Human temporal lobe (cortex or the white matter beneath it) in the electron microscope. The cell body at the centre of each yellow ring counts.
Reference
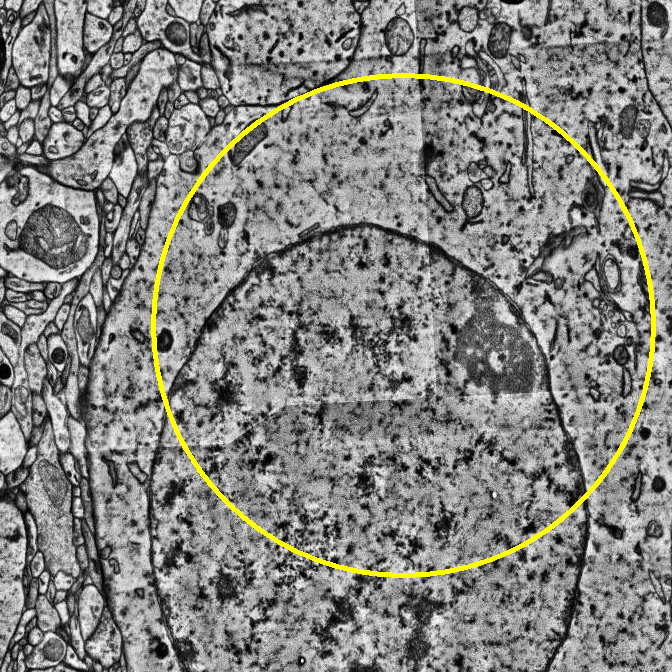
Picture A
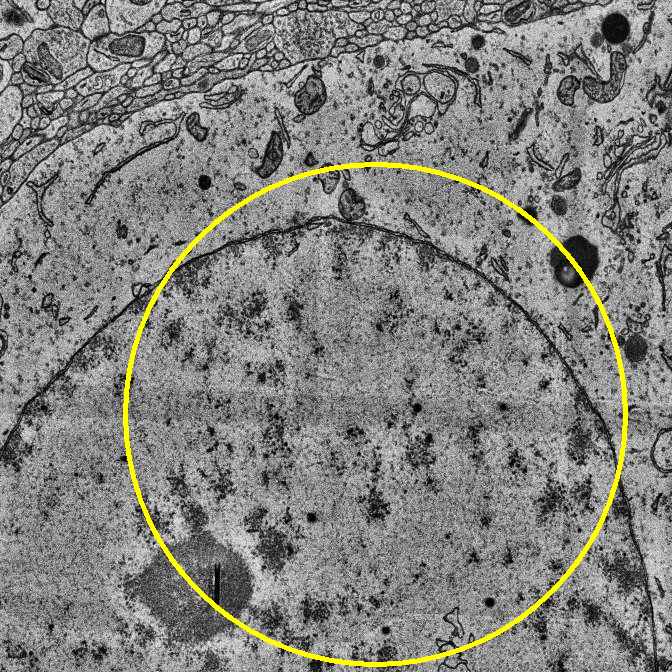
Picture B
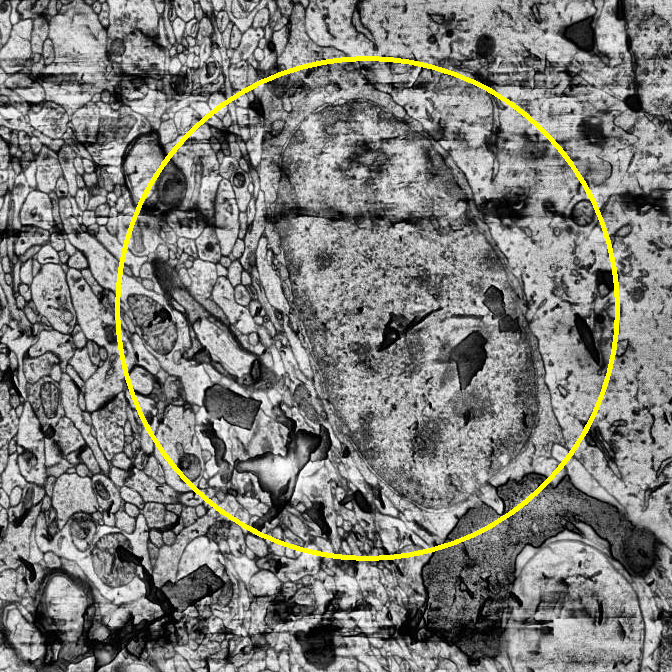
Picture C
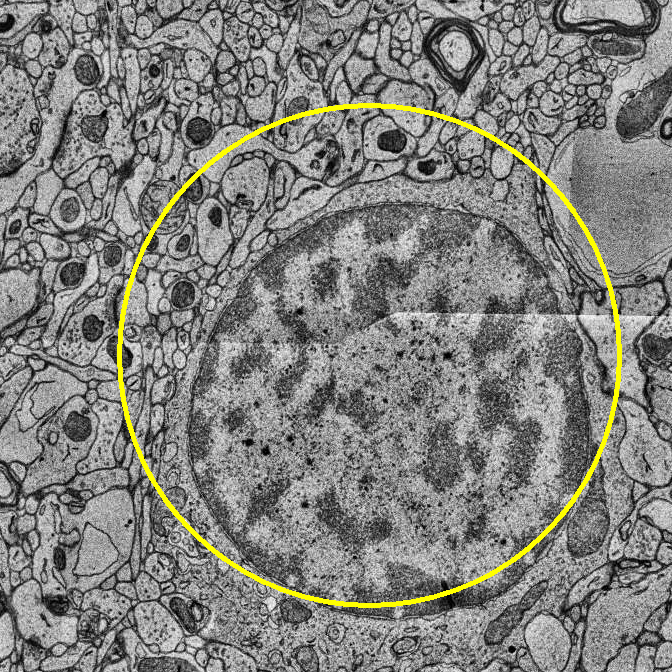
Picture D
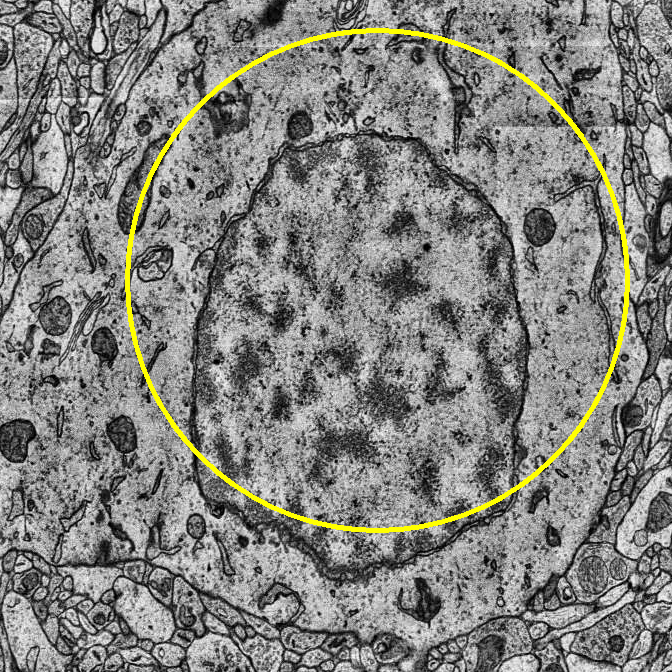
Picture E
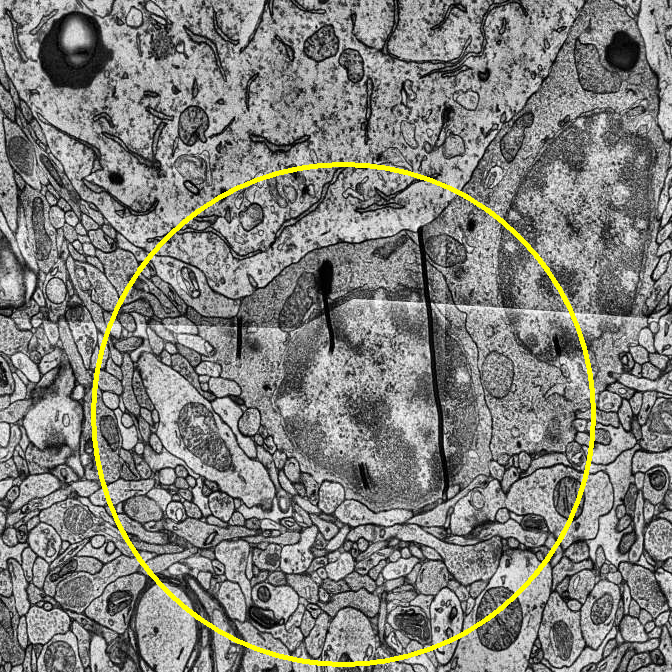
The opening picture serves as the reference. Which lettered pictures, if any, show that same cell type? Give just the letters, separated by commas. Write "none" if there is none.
A, D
